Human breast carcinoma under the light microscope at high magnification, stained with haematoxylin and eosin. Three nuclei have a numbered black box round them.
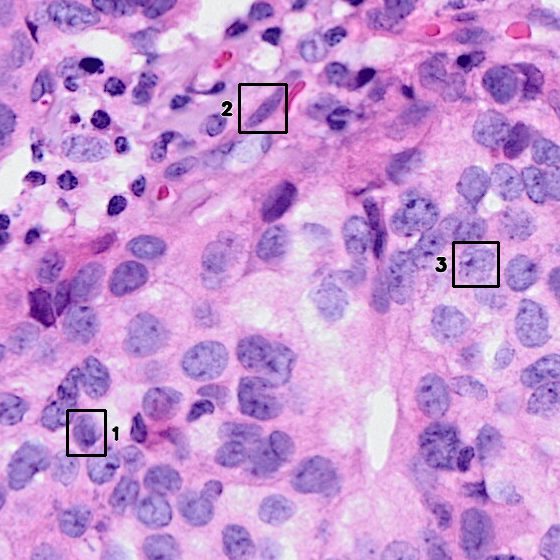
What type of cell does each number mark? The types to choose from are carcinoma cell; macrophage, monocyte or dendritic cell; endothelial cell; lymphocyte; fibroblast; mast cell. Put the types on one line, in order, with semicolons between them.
carcinoma cell; endothelial cell; carcinoma cell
